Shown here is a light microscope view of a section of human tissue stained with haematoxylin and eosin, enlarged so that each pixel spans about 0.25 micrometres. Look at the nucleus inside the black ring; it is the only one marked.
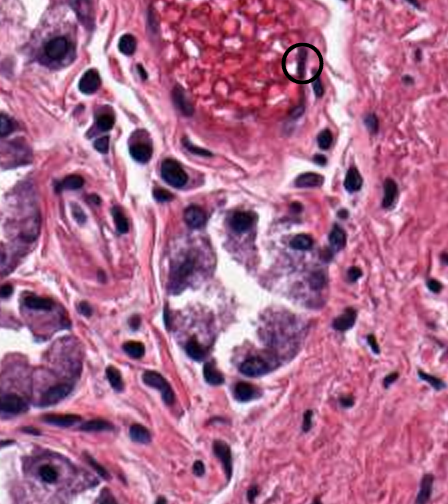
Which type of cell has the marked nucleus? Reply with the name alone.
endothelial cell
